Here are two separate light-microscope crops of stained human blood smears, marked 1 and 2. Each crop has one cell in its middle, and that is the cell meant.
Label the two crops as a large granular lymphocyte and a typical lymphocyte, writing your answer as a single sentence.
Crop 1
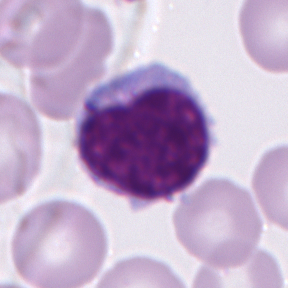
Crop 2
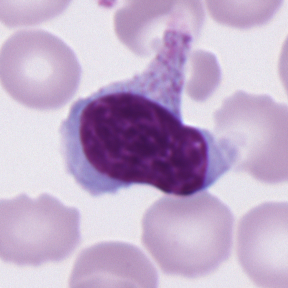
As for the pair, crop 1 is a typical lymphocyte and crop 2 is a large granular lymphocyte.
